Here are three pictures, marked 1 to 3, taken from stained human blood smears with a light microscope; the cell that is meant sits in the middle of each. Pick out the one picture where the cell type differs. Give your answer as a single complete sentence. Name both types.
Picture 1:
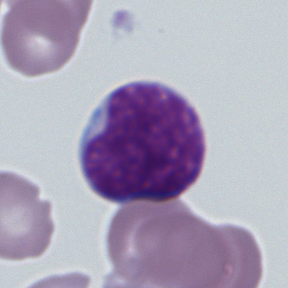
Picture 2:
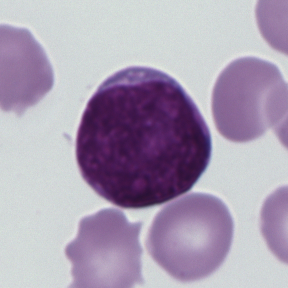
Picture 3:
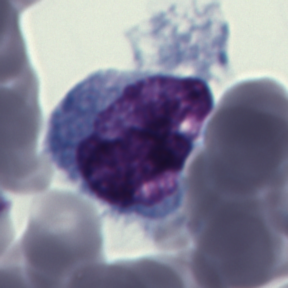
Picture 3 differs, because its cell is a monocyte and the rest are myeloblasts.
